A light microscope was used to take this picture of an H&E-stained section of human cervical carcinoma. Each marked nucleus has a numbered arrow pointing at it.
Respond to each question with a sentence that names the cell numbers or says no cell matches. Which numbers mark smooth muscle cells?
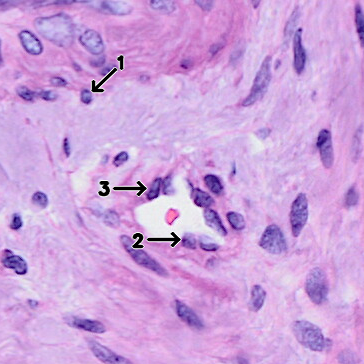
With the exception of cell 1, no marked cell is a smooth muscle cell.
